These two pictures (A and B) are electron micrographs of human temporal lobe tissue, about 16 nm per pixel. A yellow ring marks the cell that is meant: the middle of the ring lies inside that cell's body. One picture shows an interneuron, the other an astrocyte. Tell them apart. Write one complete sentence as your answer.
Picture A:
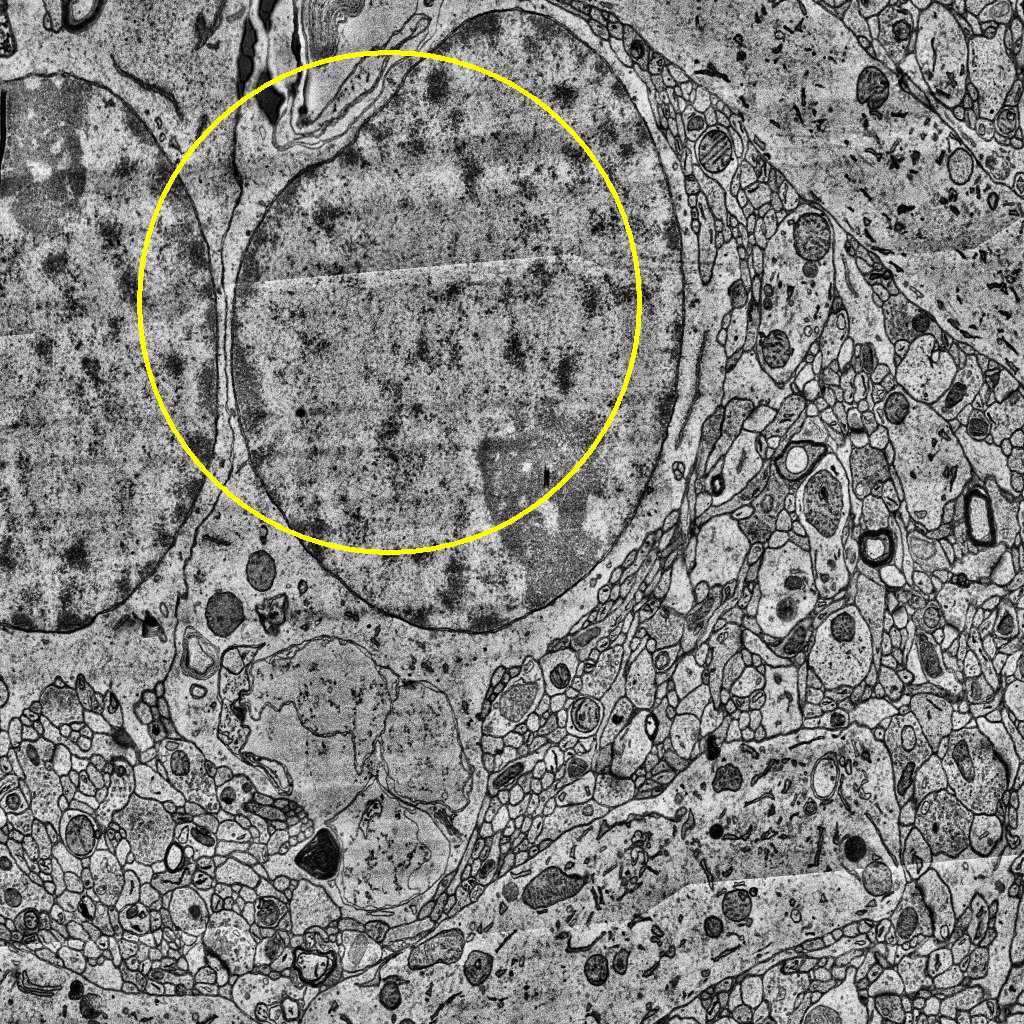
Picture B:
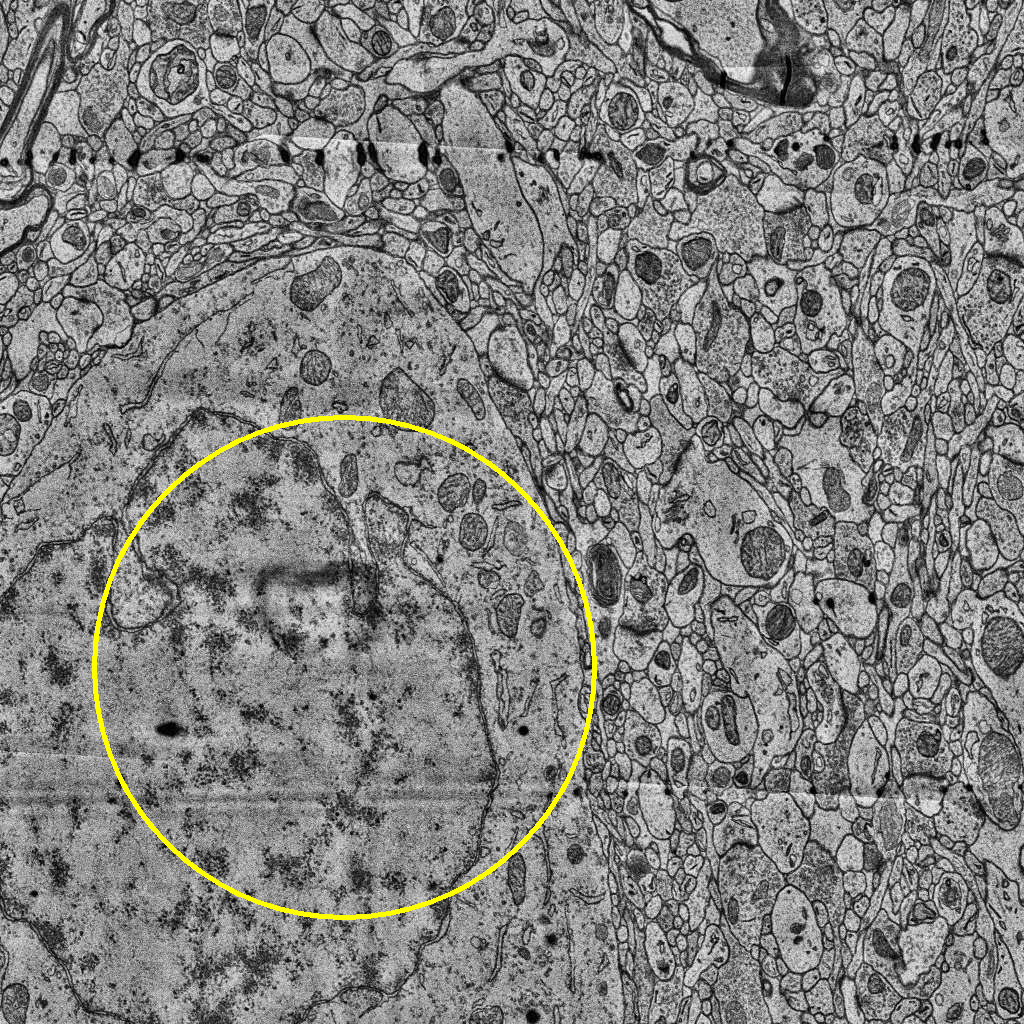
The cell in picture A is an astrocyte, and the one in picture B is an interneuron.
